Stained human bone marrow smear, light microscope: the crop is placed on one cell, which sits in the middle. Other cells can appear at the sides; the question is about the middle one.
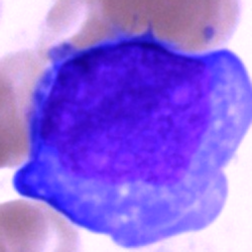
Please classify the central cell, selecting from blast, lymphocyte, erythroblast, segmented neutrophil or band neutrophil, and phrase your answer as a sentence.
Among the cells in view, the one in the middle is a blast.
